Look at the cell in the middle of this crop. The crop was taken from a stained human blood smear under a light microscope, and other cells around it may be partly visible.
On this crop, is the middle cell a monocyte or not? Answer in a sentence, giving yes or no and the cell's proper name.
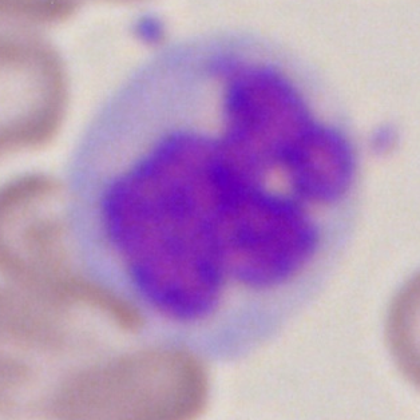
Yes, centred in the crop is a monocyte.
